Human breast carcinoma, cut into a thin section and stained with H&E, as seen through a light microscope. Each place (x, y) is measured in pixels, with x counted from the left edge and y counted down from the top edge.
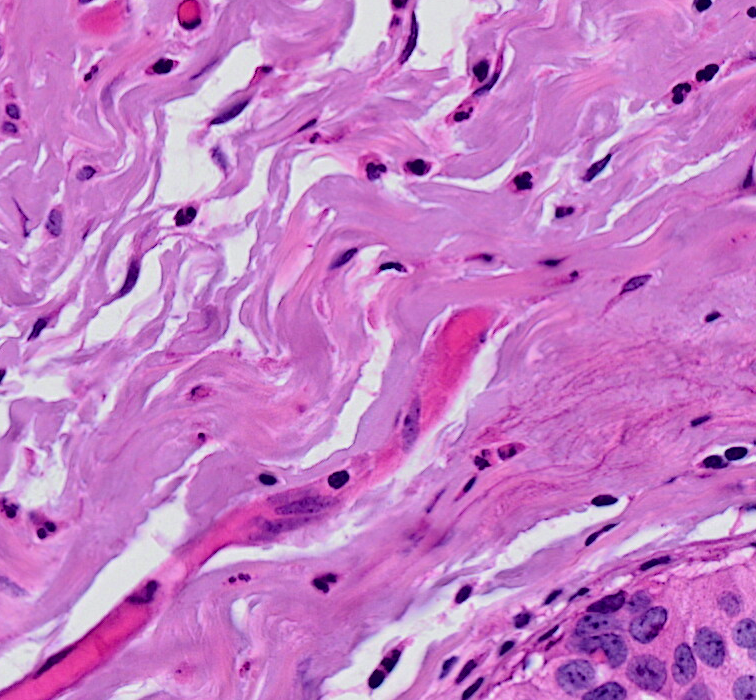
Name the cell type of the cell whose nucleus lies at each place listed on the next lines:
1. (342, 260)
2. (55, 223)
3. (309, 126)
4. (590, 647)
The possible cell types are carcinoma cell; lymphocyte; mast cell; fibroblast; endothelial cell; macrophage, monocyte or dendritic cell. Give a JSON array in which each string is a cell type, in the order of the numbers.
["fibroblast", "fibroblast", "fibroblast", "carcinoma cell"]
